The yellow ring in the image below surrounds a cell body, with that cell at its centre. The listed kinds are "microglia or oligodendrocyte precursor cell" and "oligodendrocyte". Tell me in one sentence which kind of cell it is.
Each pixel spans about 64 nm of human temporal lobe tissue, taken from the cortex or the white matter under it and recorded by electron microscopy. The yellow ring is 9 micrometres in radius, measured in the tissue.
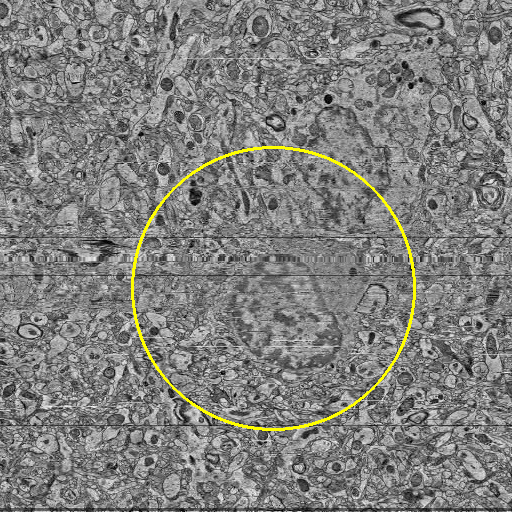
The centre of the ring holds an oligodendrocyte.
